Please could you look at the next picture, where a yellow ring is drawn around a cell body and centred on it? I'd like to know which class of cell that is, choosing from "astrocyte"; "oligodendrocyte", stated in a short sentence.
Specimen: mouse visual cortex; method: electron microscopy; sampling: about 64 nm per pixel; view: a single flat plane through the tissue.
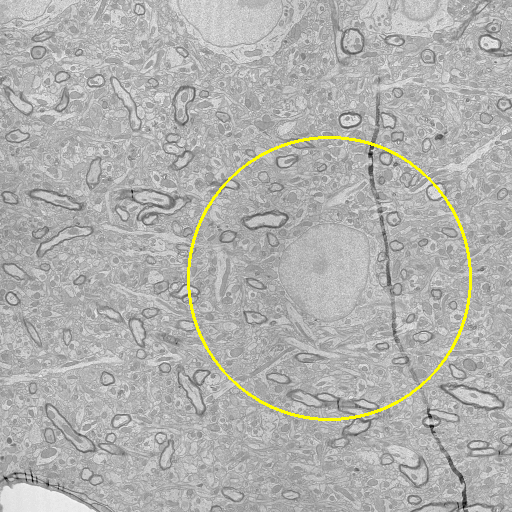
The ring's centre lies on an astrocyte.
